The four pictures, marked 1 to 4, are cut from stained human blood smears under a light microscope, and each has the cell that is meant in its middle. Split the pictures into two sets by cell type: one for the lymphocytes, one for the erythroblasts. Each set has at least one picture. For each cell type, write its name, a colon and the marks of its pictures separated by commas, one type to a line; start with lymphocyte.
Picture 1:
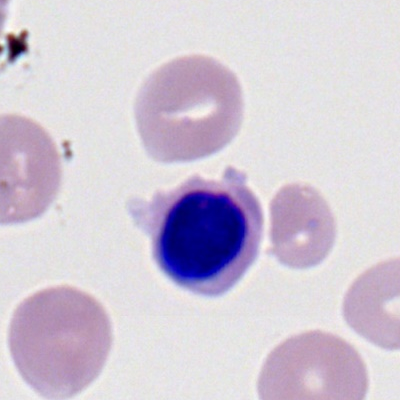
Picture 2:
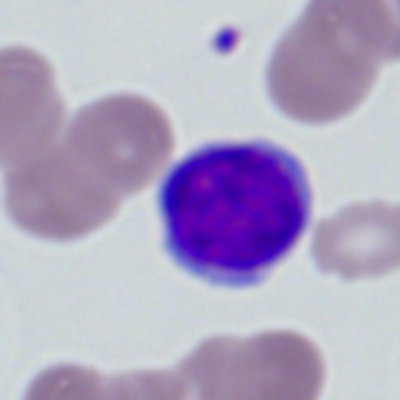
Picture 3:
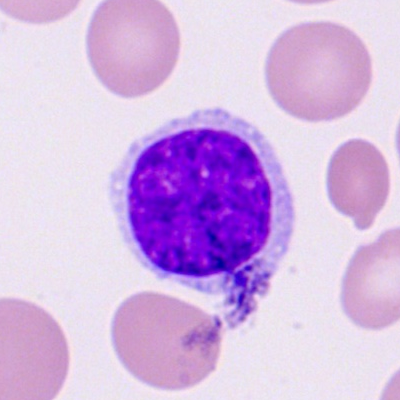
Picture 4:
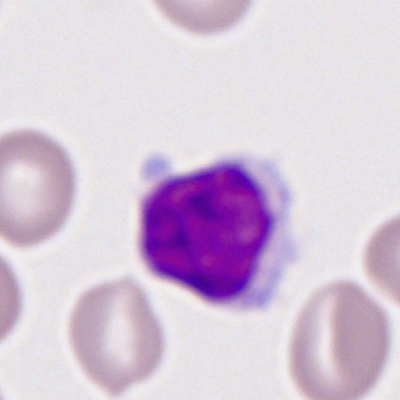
lymphocyte: 2, 3, 4
erythroblast: 1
